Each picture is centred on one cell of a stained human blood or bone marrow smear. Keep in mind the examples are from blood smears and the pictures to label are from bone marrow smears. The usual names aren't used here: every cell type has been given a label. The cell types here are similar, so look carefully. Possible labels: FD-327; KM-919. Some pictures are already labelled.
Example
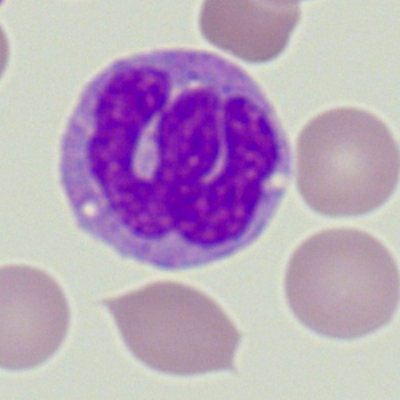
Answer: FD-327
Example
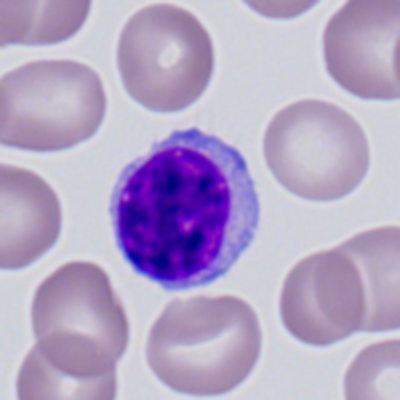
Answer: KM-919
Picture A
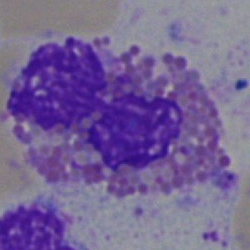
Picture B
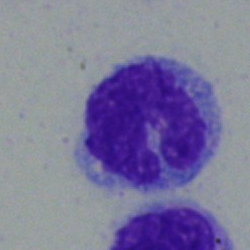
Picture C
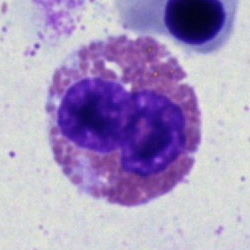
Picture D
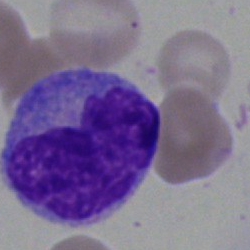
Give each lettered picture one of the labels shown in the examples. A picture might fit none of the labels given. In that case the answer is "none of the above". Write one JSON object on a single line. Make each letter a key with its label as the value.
{"A": "none of the above", "B": "FD-327", "C": "none of the above", "D": "FD-327"}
